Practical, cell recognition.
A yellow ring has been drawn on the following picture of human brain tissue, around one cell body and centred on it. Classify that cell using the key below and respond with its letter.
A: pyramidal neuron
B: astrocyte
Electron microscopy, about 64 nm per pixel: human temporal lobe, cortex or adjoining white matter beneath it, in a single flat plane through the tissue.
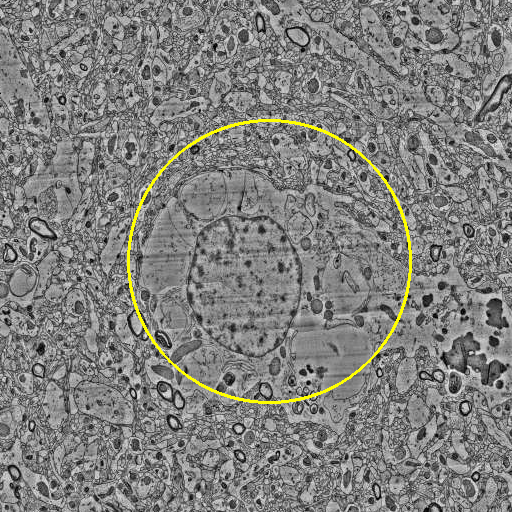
B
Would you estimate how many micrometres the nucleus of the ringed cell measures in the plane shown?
The nucleus is approximately 9 micrometers long by 7 micrometers wide in this plane.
